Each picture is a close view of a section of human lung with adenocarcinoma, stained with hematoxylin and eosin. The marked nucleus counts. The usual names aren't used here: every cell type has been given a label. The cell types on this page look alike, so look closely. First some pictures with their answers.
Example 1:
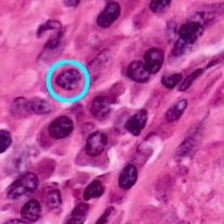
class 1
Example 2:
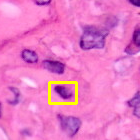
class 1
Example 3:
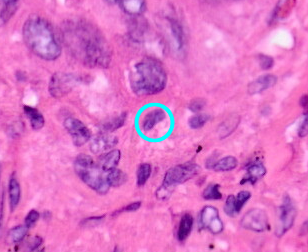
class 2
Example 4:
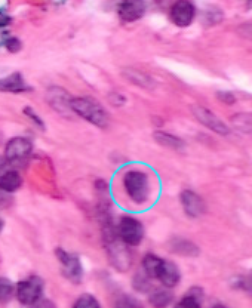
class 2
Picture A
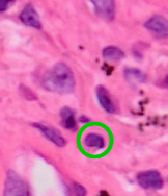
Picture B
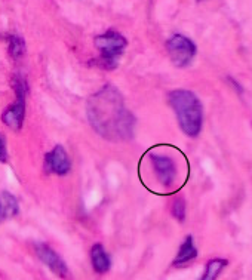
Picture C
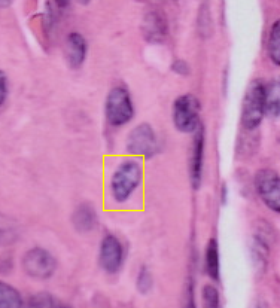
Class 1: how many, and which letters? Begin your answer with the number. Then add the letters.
2, namely B, C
